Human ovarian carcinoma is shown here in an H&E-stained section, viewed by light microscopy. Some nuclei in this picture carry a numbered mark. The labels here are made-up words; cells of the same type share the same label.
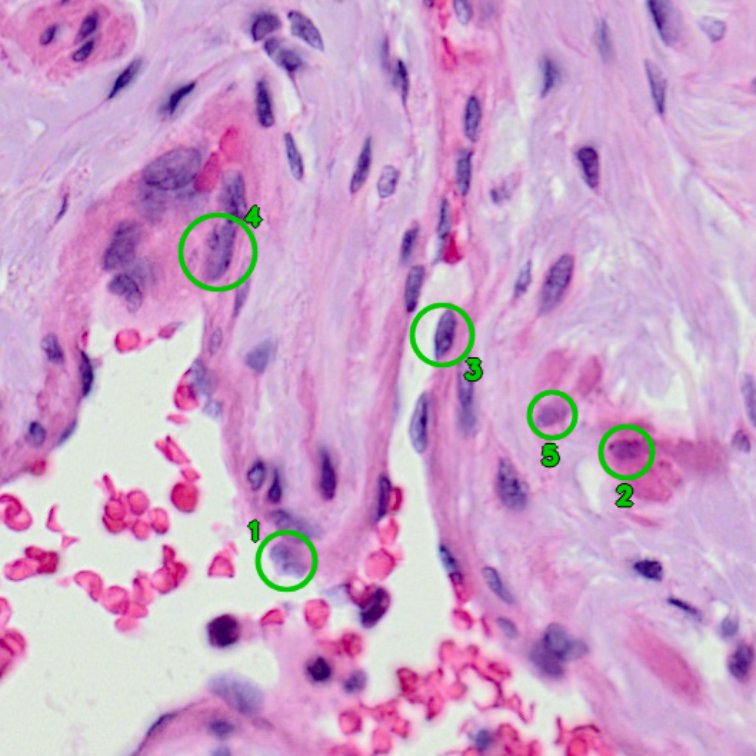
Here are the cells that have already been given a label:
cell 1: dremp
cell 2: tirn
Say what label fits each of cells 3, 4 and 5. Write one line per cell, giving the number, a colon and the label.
3: dremp
4: dremp
5: tirn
